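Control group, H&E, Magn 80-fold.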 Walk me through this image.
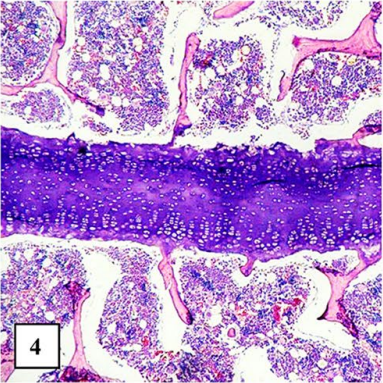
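A bar-like band of cartilage with mature chondrocytes crosses the marrow cavity horizontally, its matrix stained deep purple and its cells lying in clear lacunae. Above and below the band the marrow spaces are packed with small cells and round empty vacuoles, bounded by thin pink bony trabeculae.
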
